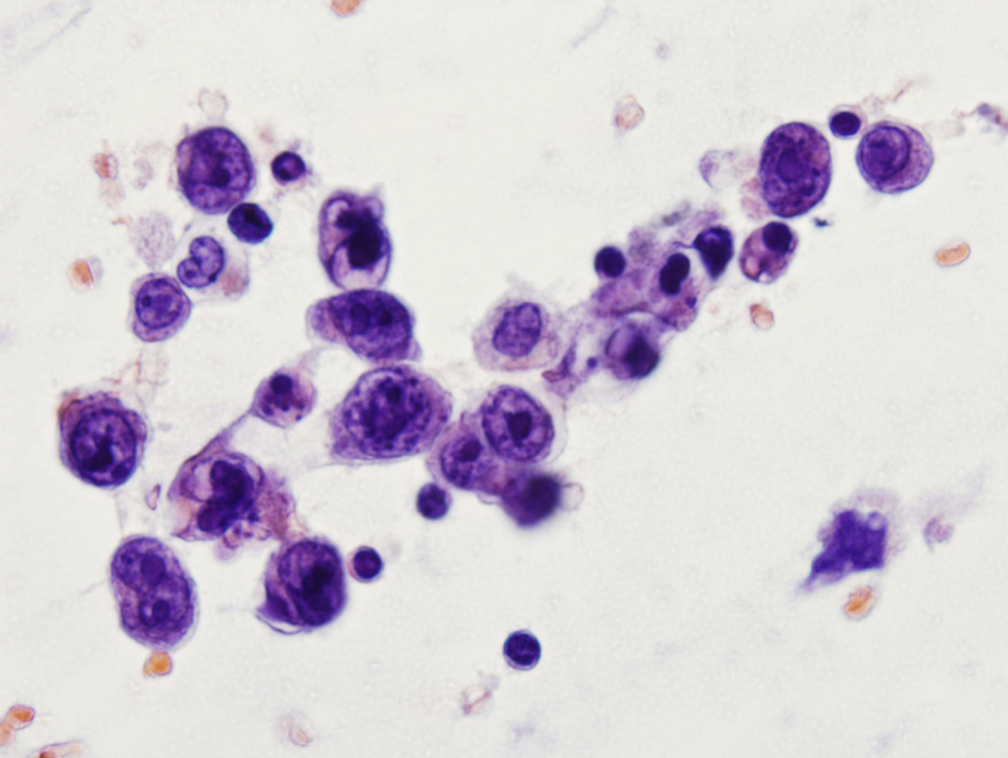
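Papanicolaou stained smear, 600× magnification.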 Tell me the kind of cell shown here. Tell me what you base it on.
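Large polygonal to rounded cells with abundant-looking nuclei lie loosely clustered. Nuclei are enlarged with irregular, dark chromatin. Cells have defined cytoplasmic borders, giving an epithelial-like appearance.
Atypical epithelioid cells.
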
